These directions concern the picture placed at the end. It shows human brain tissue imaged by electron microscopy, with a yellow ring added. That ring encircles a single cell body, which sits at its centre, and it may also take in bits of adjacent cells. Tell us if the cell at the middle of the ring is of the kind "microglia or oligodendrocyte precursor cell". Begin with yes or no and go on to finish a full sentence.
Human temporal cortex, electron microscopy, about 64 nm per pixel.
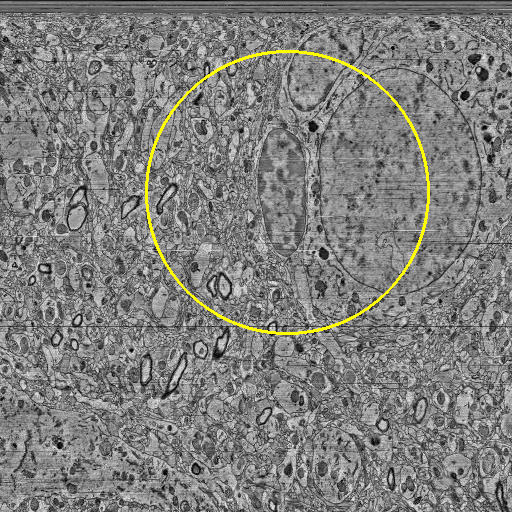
Yes, the cell sitting at the centre of the yellow ring in the picture is of that kind.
